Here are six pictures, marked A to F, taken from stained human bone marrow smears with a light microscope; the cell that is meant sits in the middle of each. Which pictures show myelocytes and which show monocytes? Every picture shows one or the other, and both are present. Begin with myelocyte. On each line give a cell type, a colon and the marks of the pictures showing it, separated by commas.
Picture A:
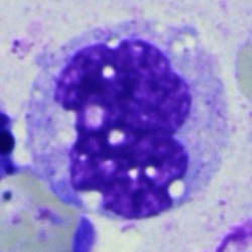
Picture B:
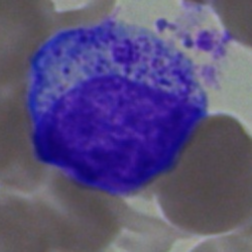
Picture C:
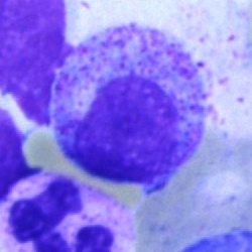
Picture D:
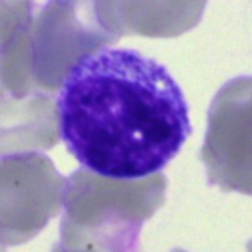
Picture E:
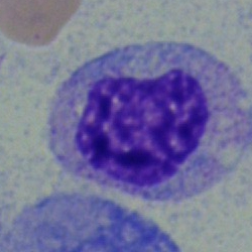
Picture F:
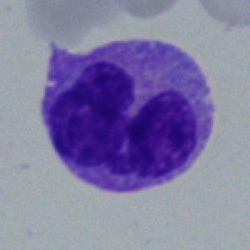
myelocyte: B, C, D, E
monocyte: A, F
